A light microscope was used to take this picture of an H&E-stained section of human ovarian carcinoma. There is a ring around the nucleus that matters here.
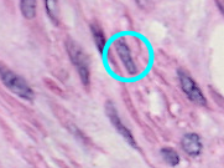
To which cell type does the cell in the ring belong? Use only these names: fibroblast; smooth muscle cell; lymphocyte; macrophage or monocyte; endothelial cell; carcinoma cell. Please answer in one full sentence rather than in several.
By cell type, the cell in the ring is a fibroblast.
